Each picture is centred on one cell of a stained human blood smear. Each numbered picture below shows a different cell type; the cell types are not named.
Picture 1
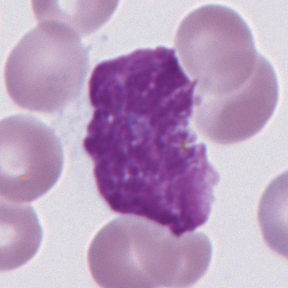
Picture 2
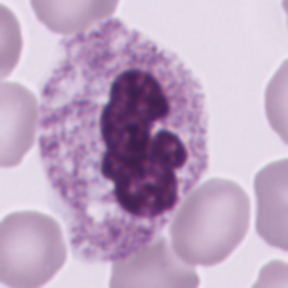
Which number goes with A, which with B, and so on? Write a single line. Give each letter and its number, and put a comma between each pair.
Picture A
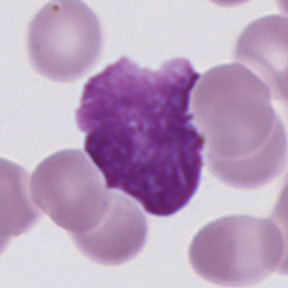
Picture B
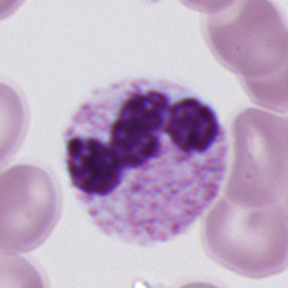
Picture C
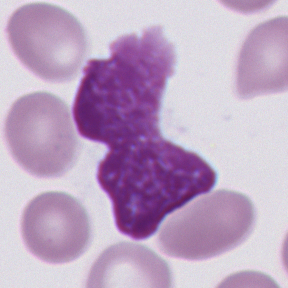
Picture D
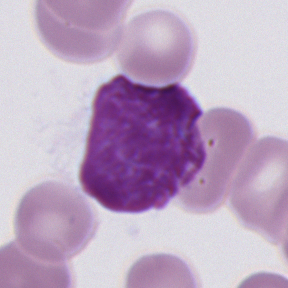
A 1, B 2, C 1, D 1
